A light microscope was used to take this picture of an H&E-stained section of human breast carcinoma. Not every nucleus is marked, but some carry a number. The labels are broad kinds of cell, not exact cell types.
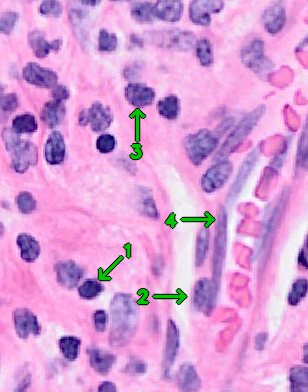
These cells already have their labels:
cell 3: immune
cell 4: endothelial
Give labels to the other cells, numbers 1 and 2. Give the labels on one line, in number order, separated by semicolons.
immune; endothelial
